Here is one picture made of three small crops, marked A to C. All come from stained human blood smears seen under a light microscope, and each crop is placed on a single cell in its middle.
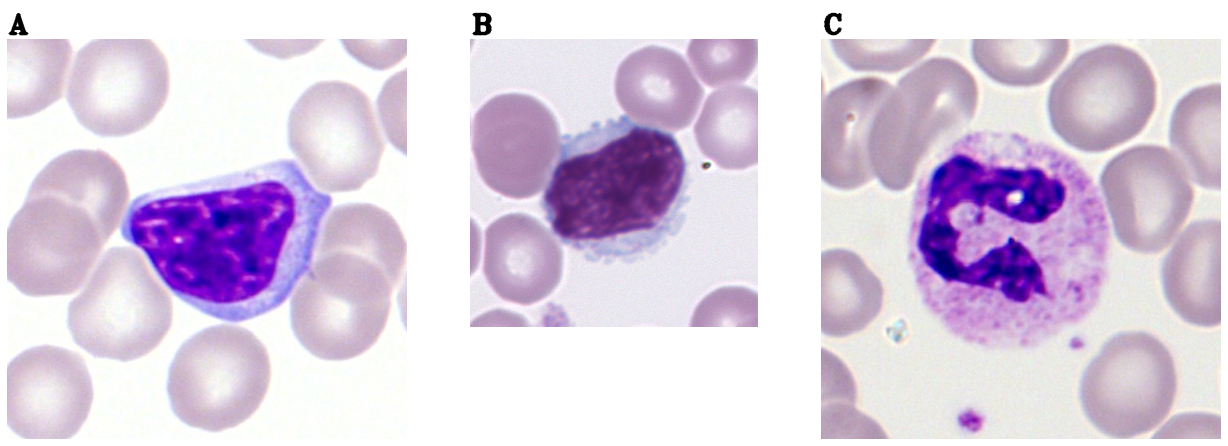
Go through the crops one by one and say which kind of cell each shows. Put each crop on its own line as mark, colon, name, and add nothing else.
A: lymphocyte
B: lymphocyte
C: segmented neutrophil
